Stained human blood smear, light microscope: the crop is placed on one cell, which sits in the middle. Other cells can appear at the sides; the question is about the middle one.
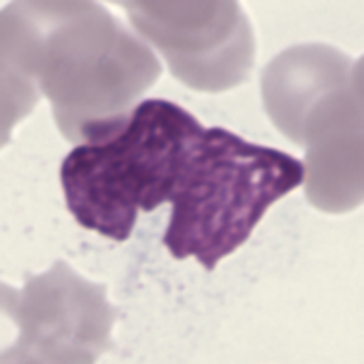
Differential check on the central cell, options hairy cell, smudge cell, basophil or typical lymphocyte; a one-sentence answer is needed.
The central cell, amid any neighbouring cells, is a smudge cell.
